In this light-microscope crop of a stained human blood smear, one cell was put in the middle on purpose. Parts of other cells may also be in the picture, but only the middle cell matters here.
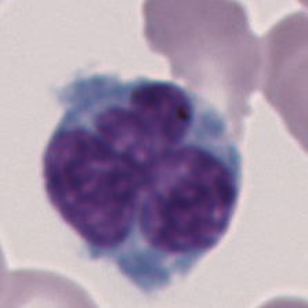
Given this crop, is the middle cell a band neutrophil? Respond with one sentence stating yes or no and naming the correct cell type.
No, the cell positioned in the middle is a monocyte, not a band neutrophil.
